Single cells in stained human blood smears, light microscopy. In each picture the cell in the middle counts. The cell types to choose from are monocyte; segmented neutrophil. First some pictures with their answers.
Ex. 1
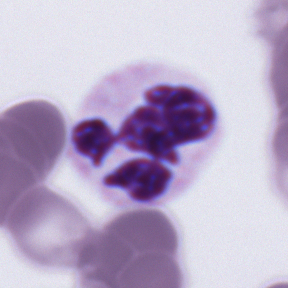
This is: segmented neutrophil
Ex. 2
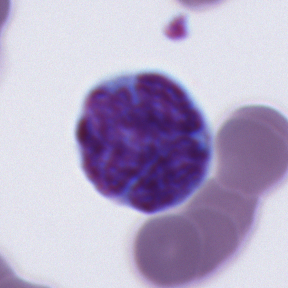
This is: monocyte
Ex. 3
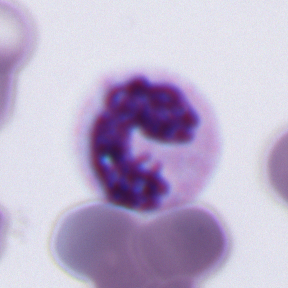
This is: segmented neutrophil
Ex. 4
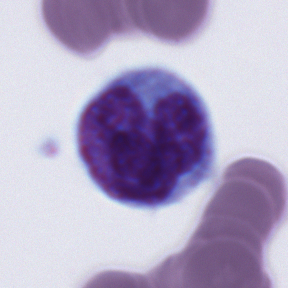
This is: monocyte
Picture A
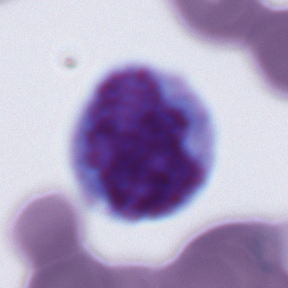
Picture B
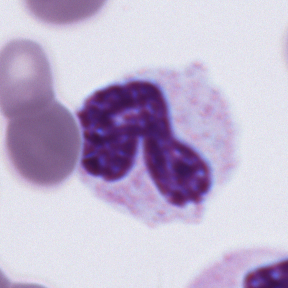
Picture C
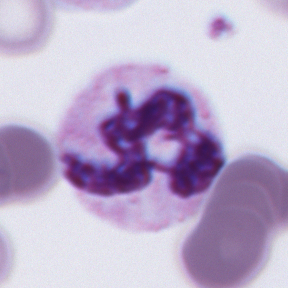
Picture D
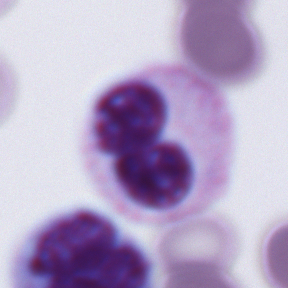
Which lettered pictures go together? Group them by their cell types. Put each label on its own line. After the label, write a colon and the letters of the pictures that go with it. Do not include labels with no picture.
monocyte: A
segmented neutrophil: B, C, D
